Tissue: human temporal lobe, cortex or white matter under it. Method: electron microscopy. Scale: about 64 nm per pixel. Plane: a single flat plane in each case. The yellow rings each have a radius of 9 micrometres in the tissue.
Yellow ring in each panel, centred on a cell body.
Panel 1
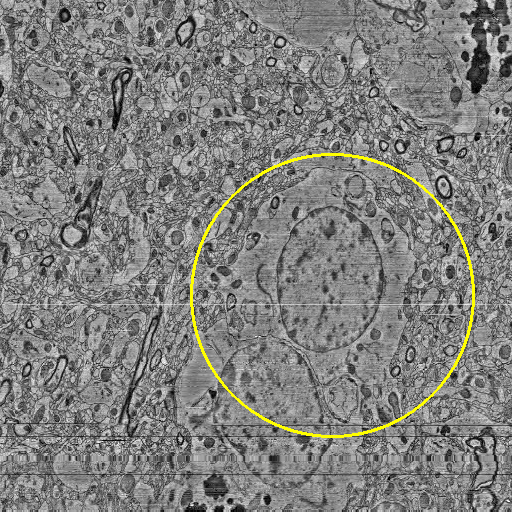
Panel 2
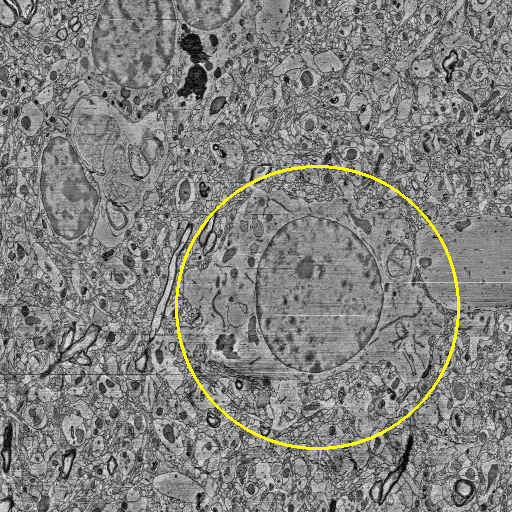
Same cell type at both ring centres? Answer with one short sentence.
Yes, both cells are of the same type.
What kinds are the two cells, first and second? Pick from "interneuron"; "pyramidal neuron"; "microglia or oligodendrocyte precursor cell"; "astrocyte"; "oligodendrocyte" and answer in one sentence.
Both the first and the second picture show an astrocyte in the ring.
